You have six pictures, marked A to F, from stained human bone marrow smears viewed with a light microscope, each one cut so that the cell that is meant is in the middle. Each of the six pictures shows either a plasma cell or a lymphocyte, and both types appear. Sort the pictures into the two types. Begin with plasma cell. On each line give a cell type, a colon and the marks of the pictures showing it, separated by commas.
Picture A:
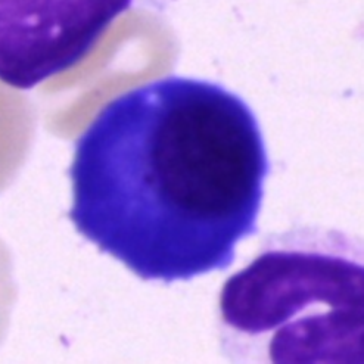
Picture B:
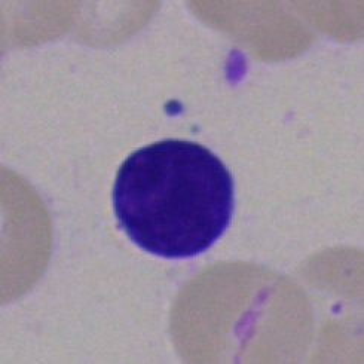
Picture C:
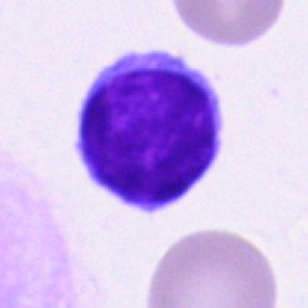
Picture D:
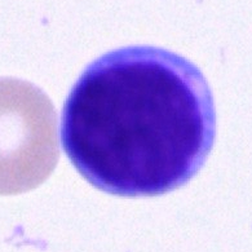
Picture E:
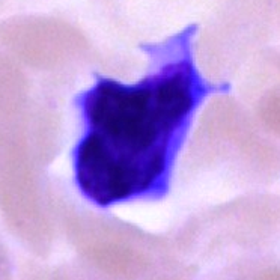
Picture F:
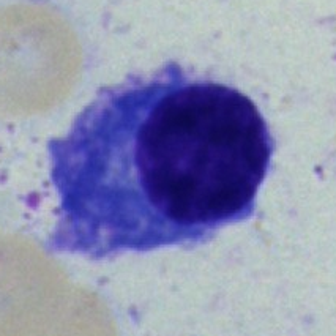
plasma cell: A, F
lymphocyte: B, C, D, E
